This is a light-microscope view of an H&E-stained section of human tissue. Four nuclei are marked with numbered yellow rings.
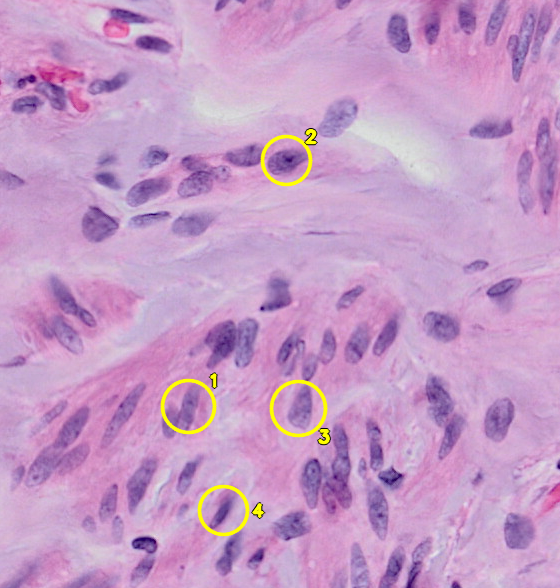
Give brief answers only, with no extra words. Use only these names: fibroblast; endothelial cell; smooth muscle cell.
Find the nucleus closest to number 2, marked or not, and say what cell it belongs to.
endothelial cell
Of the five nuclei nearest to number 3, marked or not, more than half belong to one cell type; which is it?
smooth muscle cell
